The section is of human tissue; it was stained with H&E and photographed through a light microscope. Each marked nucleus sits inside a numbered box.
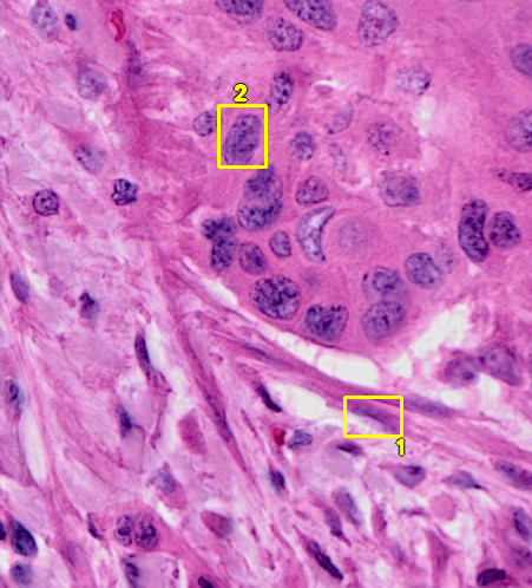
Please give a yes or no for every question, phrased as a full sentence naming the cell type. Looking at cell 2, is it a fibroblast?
No, the cell denoted 2 is a squamous carcinoma cell rather than a fibroblast.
